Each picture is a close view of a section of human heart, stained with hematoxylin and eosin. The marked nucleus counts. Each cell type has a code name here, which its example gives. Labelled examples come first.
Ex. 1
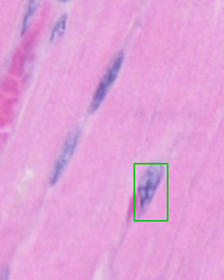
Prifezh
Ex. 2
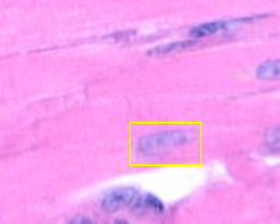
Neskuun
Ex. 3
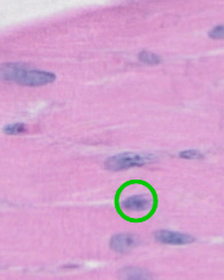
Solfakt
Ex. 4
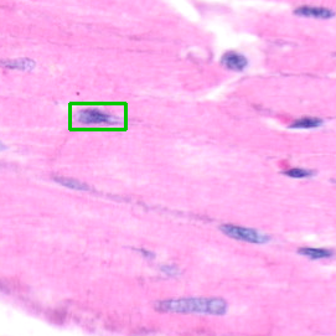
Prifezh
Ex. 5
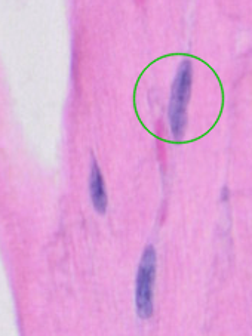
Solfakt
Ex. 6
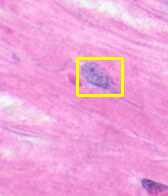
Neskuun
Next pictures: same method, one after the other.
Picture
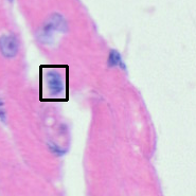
Solfakt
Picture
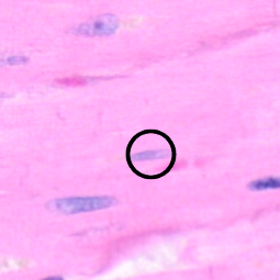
Neskuun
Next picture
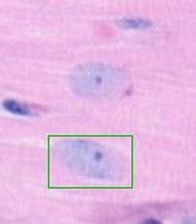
Neskuun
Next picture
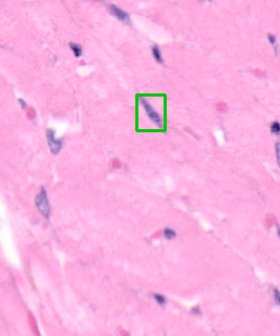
Solfakt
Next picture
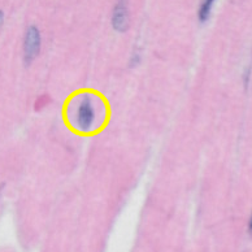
Prifezh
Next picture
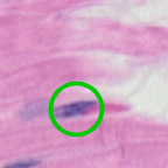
Prifezh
